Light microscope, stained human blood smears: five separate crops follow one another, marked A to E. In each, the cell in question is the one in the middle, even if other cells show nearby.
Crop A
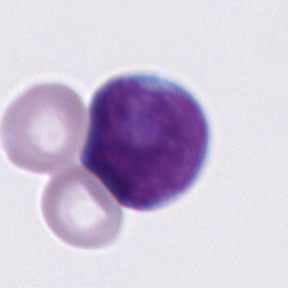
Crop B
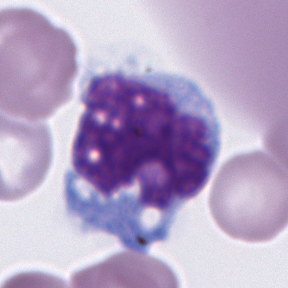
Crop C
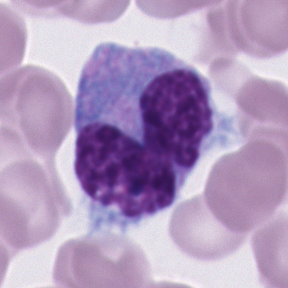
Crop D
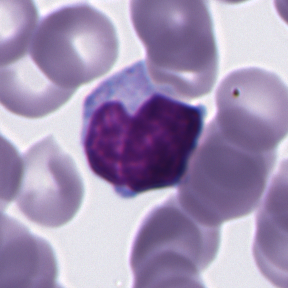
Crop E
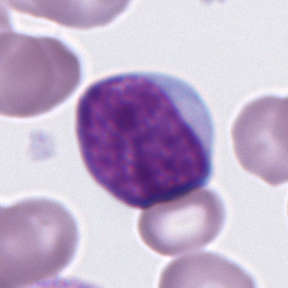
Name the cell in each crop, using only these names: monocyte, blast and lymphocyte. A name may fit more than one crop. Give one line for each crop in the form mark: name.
A: blast
B: monocyte
C: monocyte
D: lymphocyte
E: blast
